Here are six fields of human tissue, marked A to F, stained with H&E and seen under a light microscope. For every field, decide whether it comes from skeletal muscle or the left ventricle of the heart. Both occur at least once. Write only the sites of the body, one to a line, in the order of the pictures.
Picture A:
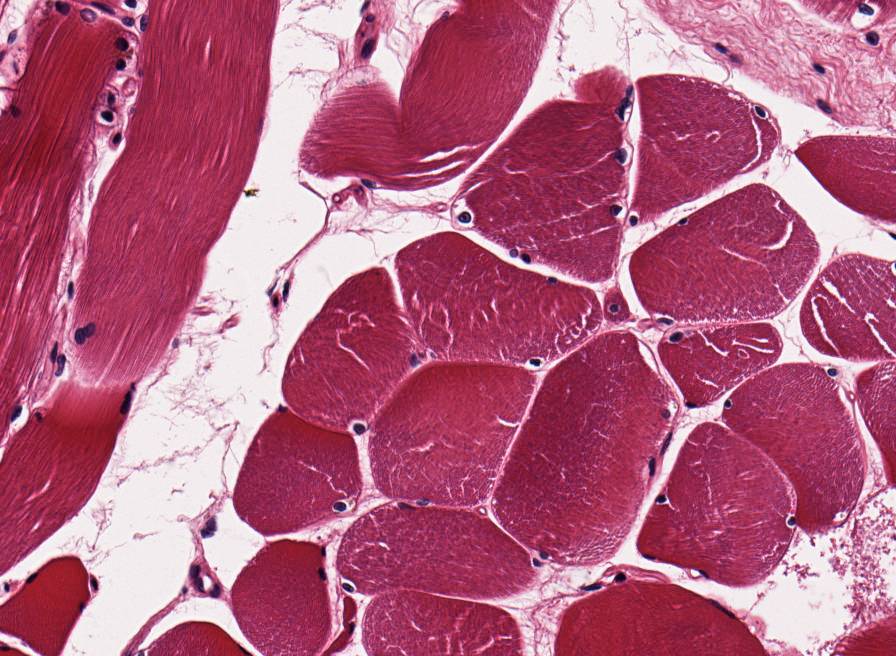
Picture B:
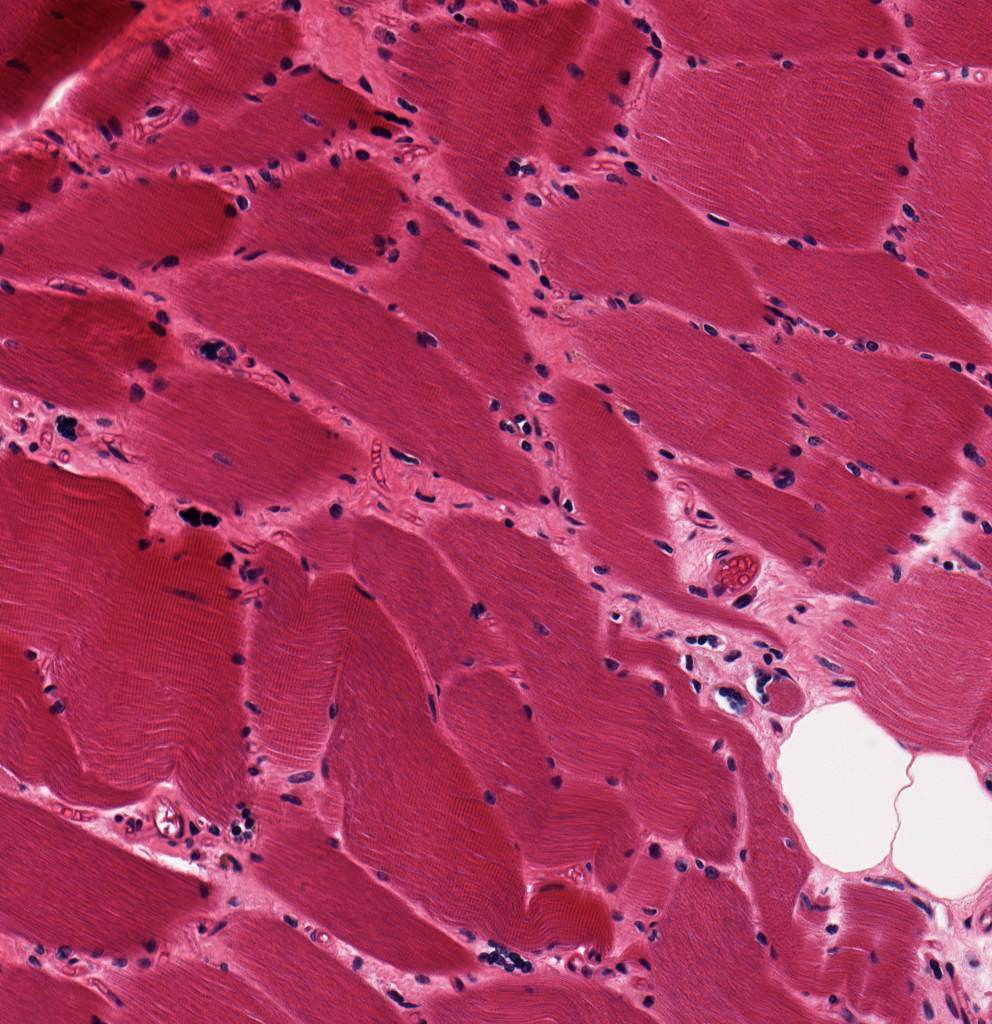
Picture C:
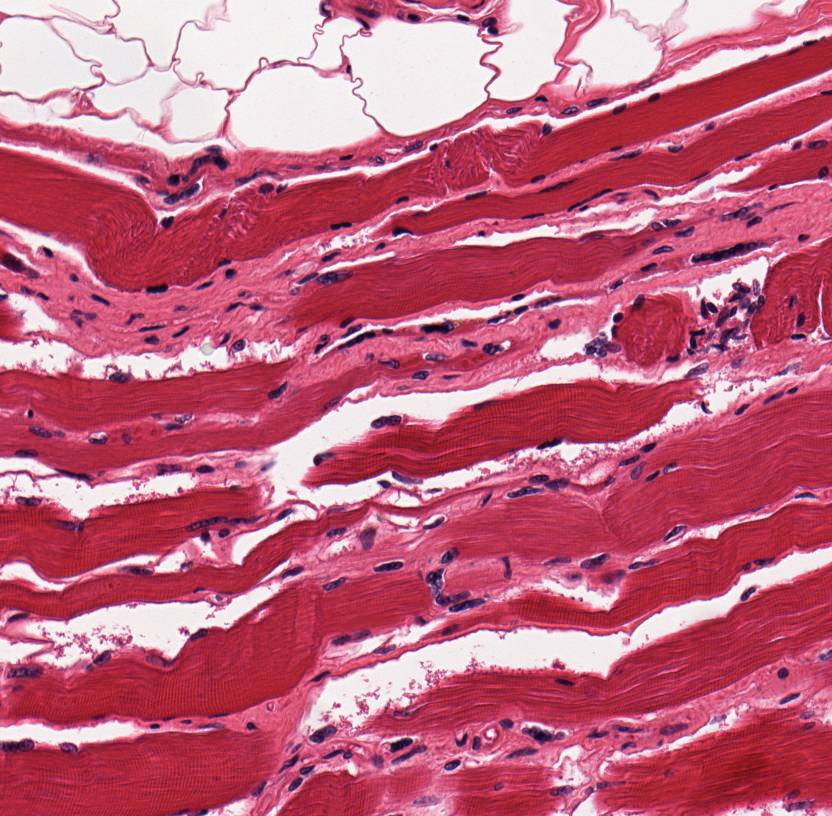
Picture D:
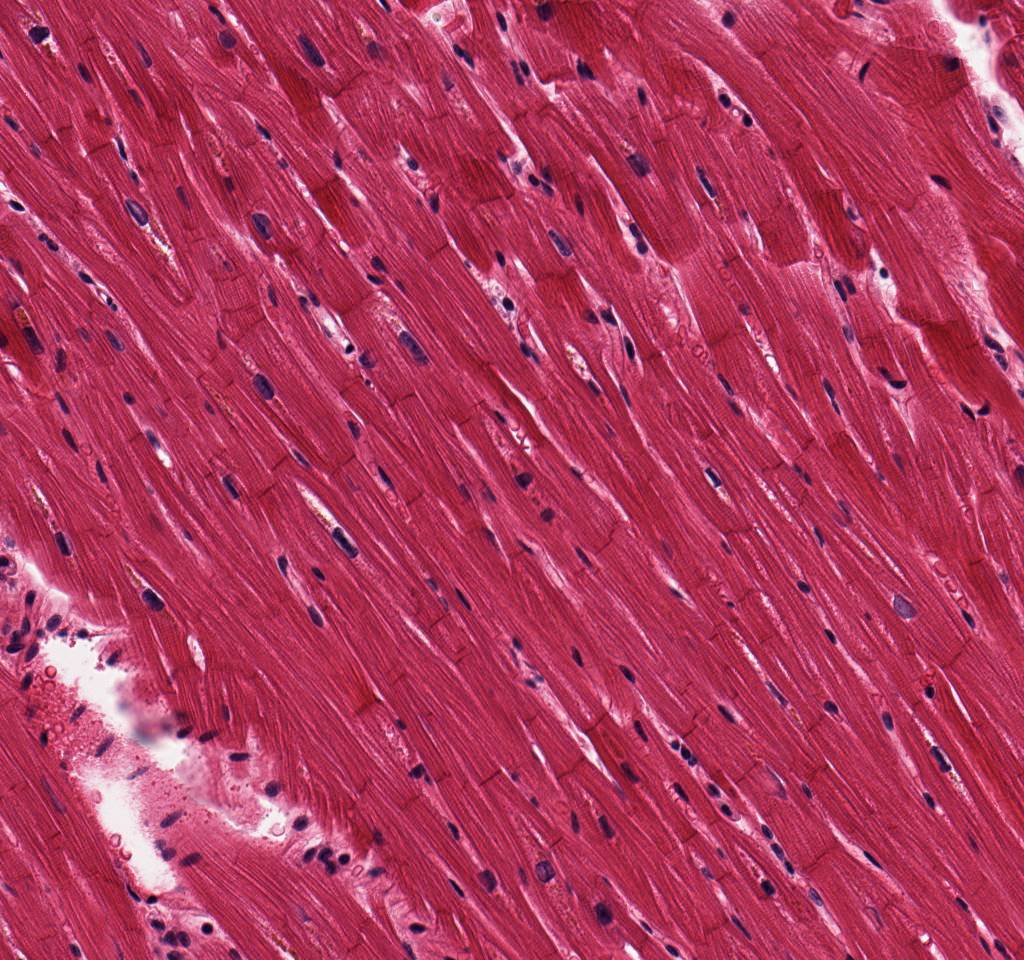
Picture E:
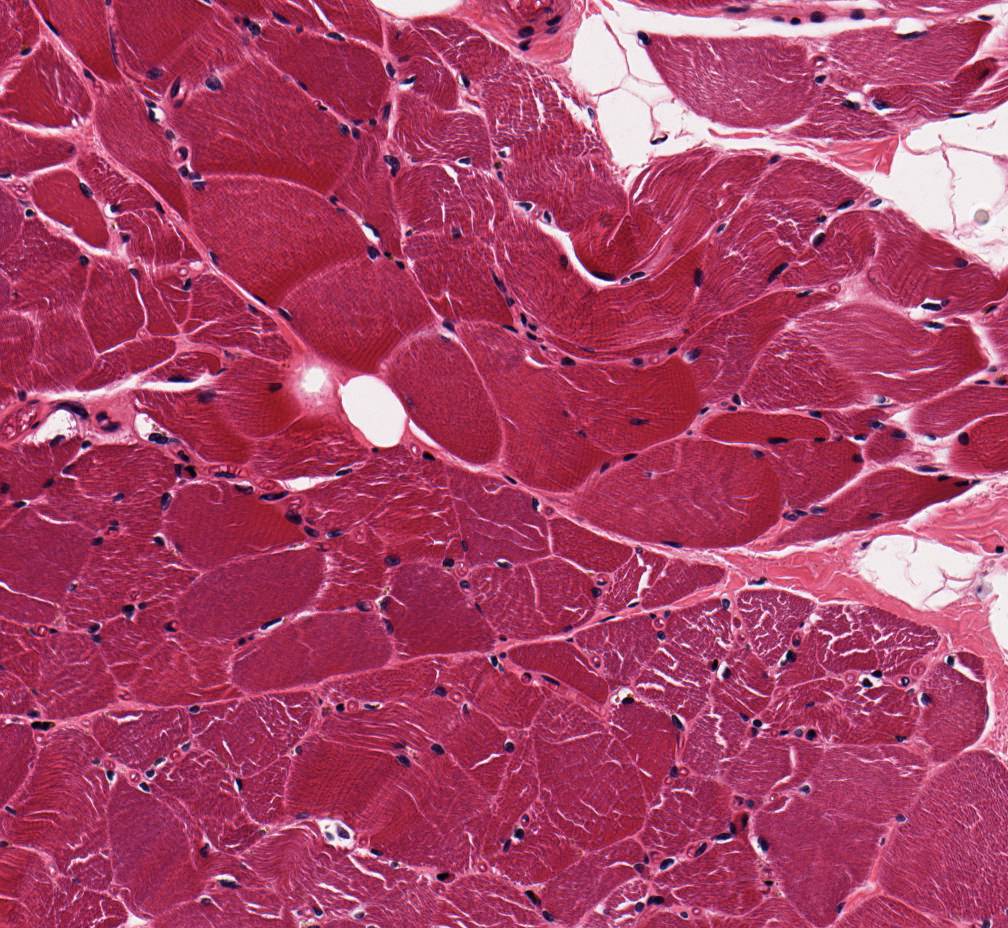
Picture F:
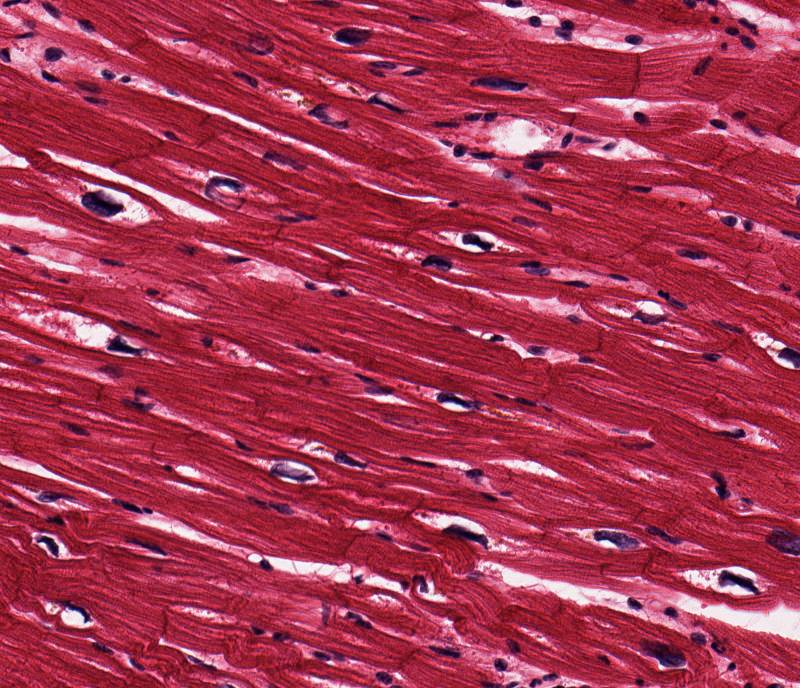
skeletal muscle
skeletal muscle
skeletal muscle
left ventricle of the heart
skeletal muscle
left ventricle of the heart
